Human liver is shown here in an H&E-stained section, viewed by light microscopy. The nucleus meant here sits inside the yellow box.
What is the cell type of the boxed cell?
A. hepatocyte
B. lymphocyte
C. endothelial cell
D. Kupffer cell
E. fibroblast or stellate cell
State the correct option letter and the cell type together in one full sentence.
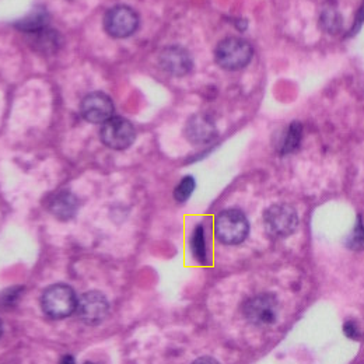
Option E is correct here; the boxed cell is a fibroblast or stellate cell.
